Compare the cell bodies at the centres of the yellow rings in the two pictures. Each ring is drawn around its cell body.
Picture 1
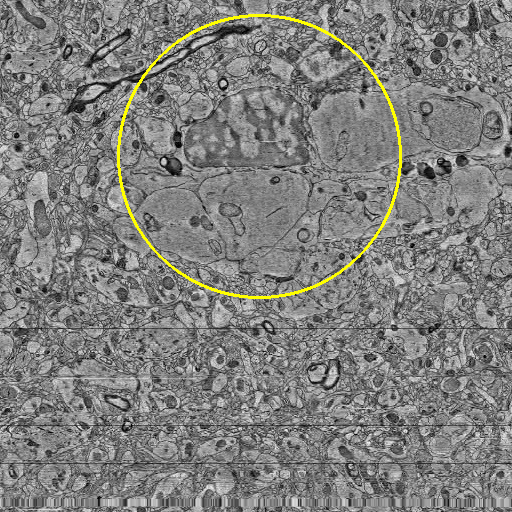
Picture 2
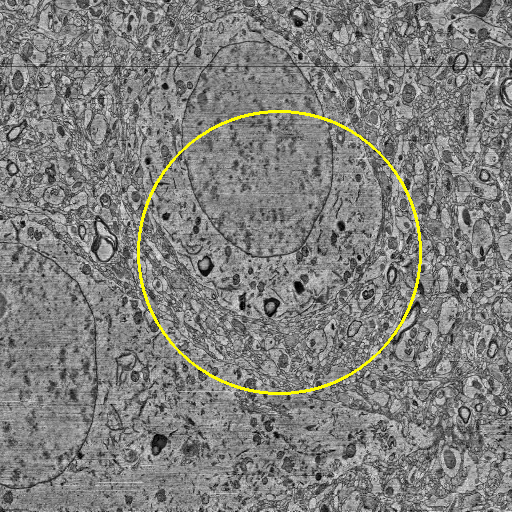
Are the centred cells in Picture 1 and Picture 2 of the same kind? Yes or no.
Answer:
no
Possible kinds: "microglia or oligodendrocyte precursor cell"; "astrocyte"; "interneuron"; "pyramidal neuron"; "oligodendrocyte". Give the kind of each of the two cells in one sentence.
The cell in the second picture is a pyramidal neuron, and that in the first is a microglial cell or oligodendrocyte precursor cell.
